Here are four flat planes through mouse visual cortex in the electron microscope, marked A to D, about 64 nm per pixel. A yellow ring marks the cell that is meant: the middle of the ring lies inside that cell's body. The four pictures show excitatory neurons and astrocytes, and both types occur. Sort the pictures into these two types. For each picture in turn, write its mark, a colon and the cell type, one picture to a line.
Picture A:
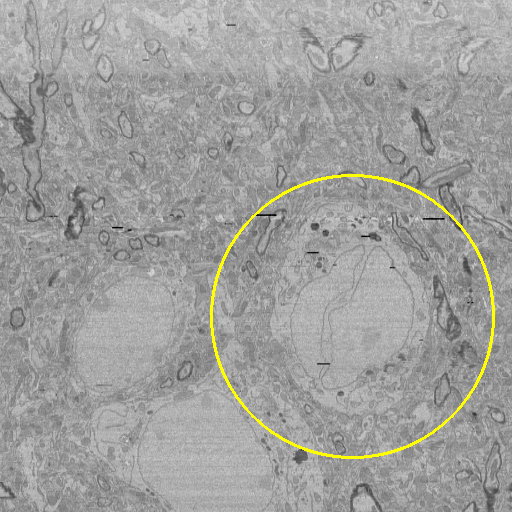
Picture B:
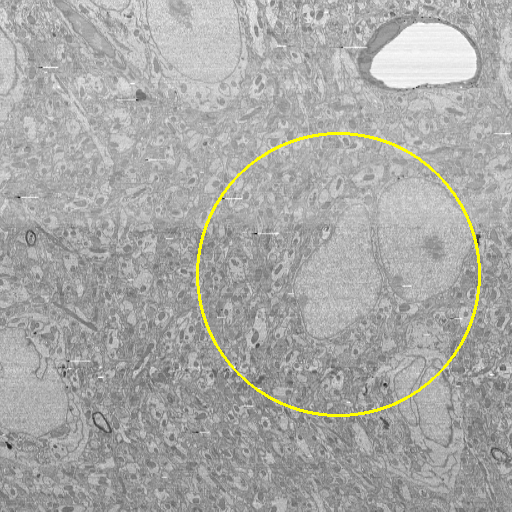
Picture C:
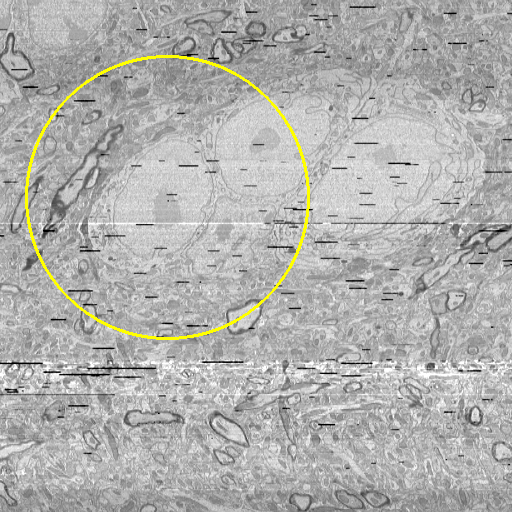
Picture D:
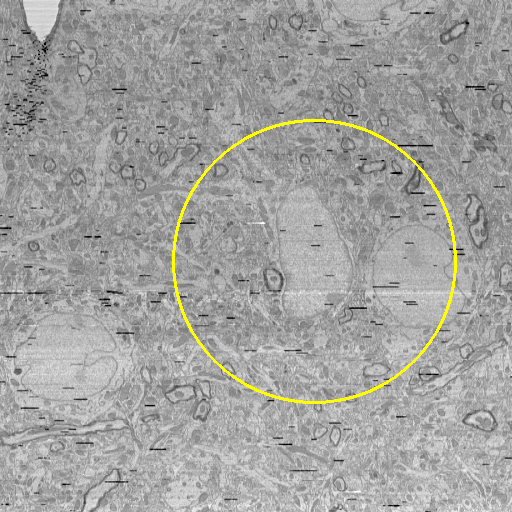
A: excitatory neuron
B: astrocyte
C: excitatory neuron
D: astrocyte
